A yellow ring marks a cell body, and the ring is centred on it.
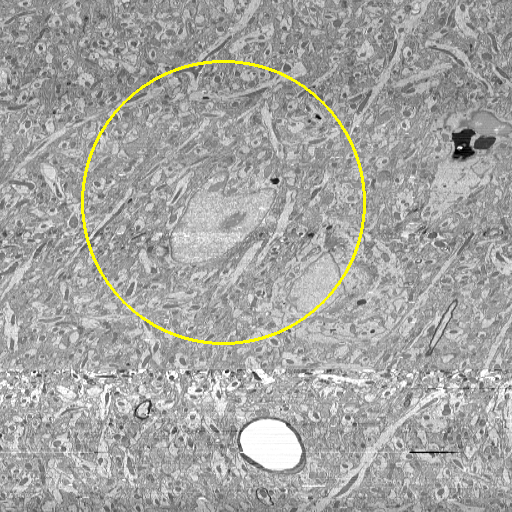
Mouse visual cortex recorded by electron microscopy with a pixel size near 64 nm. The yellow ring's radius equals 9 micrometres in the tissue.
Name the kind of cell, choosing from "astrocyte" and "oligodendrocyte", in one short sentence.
The marked cell body belongs to an astrocyte.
